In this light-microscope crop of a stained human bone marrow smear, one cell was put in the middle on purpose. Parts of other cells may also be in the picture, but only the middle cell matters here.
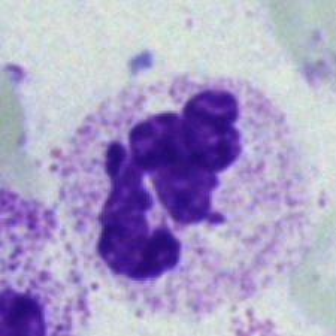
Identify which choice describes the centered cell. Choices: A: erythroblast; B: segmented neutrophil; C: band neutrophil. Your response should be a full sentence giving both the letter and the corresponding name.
What sits in the middle of the crop is a segmented neutrophil, and option B is correct.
